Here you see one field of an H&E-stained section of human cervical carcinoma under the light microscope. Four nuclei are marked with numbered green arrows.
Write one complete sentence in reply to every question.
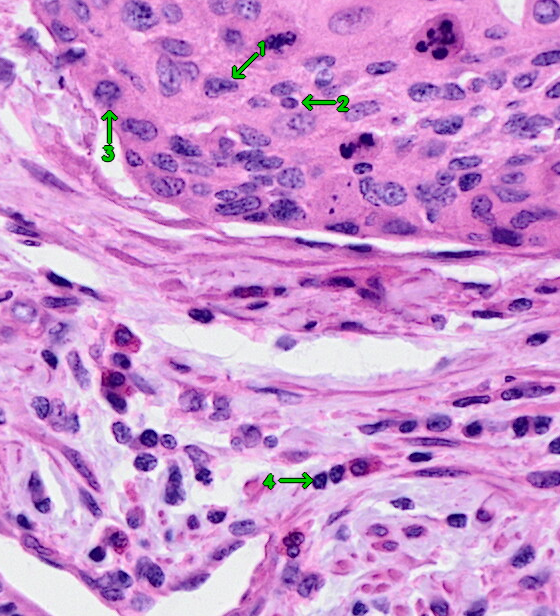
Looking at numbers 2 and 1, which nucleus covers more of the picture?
Of the two, number 1 is bigger and takes up about 3 times the area of number 2.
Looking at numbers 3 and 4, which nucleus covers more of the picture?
At about 2.5 times the area of nucleus 4, nucleus 3 is the larger of the two.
